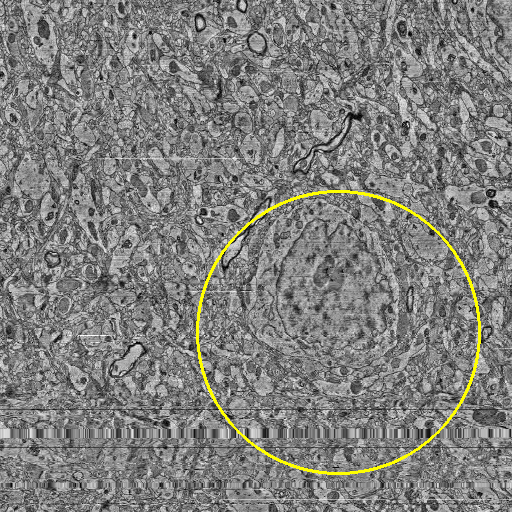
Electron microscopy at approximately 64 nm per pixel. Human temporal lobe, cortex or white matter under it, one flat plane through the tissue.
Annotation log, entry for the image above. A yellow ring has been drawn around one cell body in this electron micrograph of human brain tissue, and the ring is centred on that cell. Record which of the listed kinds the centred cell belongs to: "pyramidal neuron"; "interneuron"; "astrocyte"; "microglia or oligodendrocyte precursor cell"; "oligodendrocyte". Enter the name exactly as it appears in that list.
interneuron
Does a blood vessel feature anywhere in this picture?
No, there is none.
